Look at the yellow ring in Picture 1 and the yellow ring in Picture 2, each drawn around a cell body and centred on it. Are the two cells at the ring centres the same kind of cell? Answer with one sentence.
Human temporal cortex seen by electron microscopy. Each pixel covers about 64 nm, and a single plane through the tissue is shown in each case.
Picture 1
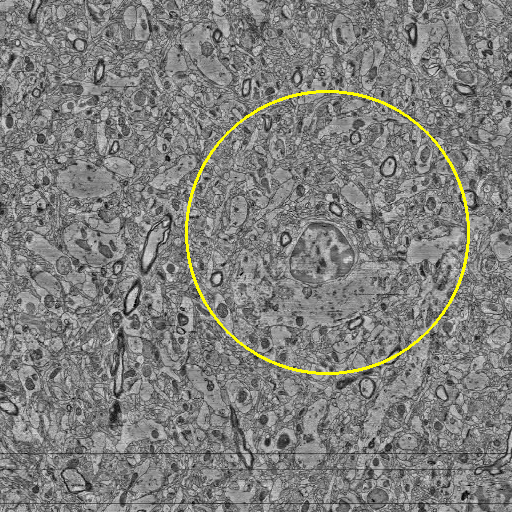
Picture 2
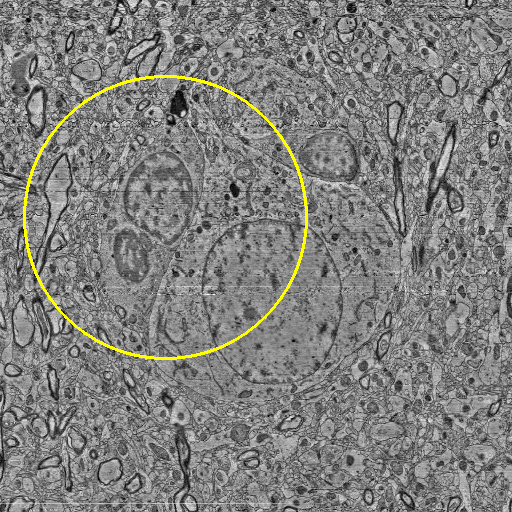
No, they are cells of two kinds.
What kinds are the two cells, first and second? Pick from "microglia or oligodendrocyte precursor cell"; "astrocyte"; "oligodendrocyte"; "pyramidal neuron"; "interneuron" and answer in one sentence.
The second picture holds an oligodendrocyte in its ring, and the first holds a microglial cell or oligodendrocyte precursor cell.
